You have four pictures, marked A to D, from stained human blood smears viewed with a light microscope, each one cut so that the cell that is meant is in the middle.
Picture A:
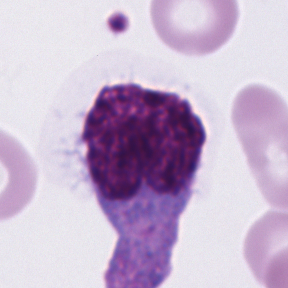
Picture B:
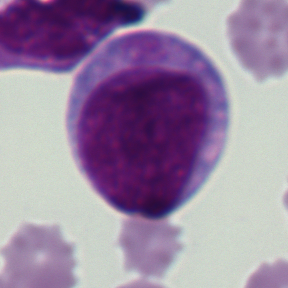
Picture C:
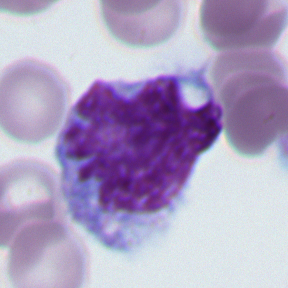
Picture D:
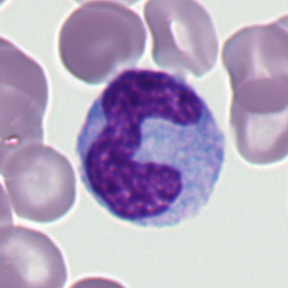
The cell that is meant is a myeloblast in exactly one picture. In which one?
B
